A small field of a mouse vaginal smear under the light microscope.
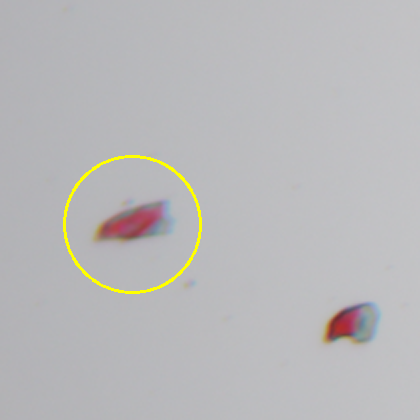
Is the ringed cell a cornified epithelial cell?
Yes, it is a cornified epithelial cell.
